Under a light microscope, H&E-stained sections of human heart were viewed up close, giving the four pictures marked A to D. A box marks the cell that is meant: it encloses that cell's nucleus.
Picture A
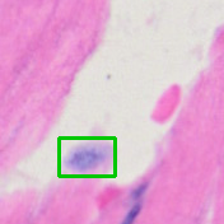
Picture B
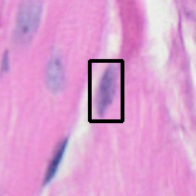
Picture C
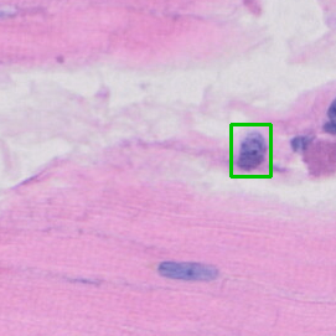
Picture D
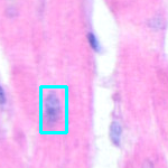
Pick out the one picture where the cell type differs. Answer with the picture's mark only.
D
